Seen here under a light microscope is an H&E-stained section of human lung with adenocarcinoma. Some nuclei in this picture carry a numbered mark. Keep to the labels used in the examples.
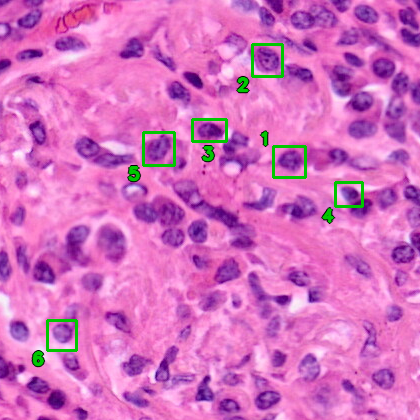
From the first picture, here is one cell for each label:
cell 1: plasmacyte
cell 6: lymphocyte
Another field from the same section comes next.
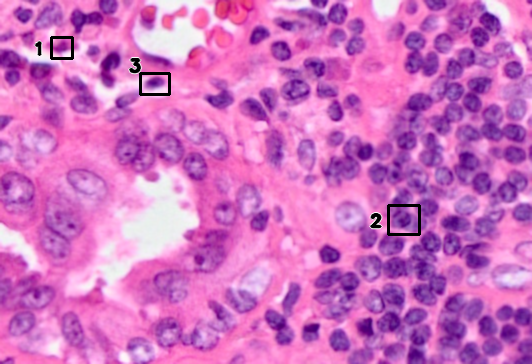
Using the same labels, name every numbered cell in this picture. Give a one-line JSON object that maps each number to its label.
{"1": "plasmacyte", "2": "lymphocyte", "3": "lymphocyte"}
